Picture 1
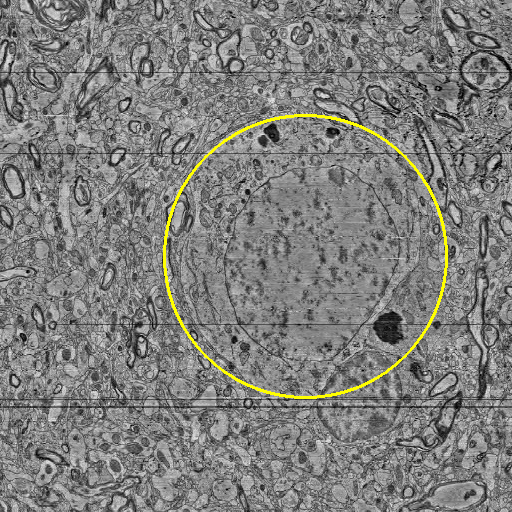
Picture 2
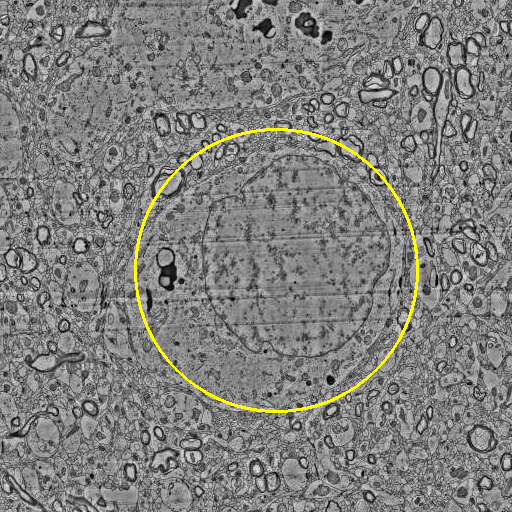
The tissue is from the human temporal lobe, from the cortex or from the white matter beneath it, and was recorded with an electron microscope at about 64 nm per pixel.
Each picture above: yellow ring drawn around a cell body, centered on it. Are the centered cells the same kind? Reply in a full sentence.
Yes, the two cells are the same kind.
